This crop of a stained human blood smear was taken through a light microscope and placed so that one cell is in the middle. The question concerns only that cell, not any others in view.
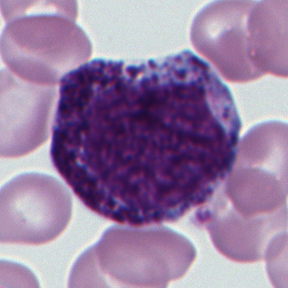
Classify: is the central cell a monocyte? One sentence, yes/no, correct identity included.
No, the middle cell is classified as a promyelocyte instead of a monocyte.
